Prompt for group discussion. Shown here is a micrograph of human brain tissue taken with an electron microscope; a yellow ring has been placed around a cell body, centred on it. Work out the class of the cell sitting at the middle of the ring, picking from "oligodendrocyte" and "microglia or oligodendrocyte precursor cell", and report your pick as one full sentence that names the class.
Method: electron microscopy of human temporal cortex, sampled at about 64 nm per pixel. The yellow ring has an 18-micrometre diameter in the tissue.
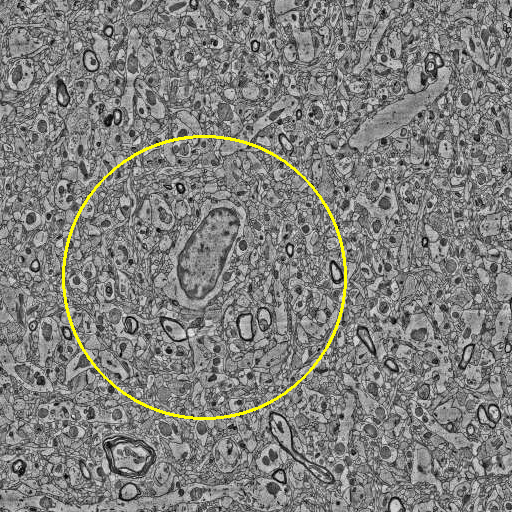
The cell sitting at the middle of the yellow ring is a microglial cell or oligodendrocyte precursor cell.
